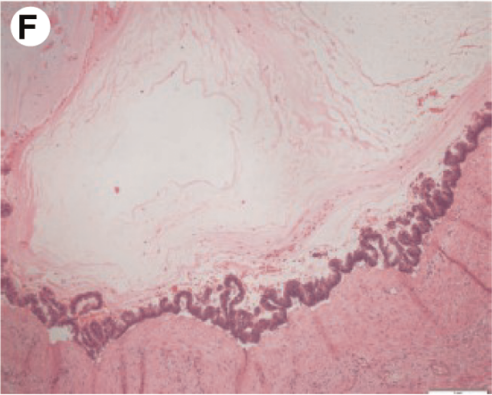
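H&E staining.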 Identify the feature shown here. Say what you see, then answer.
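A large pale, faintly pink, acellular area fills much of the panel. The pale material is wispy and streaked rather than cellular. That points to this answer: mucus lake.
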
